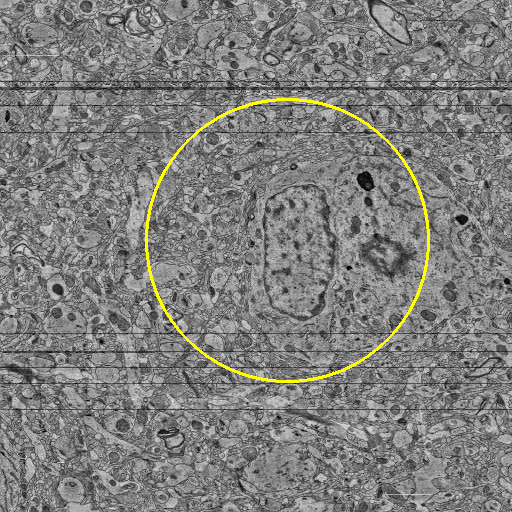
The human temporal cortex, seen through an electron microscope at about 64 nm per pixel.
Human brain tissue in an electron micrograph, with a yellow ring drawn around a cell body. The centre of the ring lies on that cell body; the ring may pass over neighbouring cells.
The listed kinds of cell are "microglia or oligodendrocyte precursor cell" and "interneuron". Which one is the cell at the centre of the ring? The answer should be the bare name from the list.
microglia or oligodendrocyte precursor cell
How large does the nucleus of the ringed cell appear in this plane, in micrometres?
About 9 by 5 micrometers; the nucleus is clearly longer than it is wide in this plane.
